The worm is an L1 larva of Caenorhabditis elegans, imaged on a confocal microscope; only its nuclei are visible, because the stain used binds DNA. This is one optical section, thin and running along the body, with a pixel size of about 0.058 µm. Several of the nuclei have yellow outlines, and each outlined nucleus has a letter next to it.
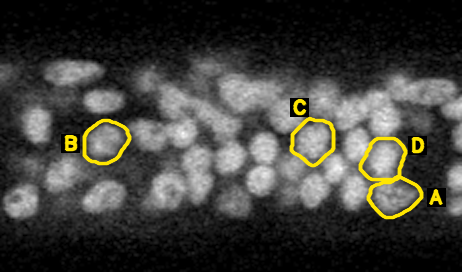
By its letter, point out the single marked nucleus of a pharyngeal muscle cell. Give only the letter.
B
